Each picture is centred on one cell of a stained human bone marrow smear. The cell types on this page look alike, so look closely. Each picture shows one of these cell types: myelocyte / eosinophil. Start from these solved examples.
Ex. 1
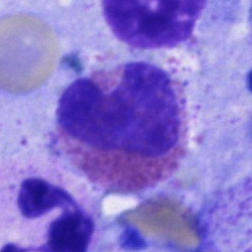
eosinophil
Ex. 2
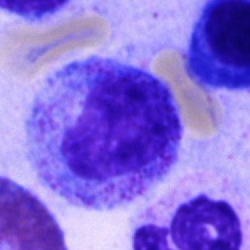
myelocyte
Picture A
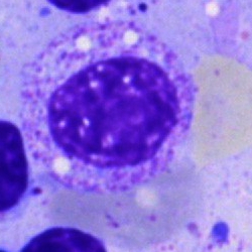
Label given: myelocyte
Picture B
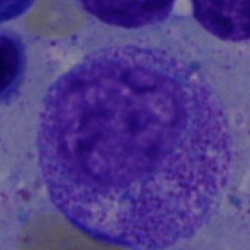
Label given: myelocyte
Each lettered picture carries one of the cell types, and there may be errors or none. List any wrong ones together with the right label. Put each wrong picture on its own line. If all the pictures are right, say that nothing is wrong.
Nothing to fix; every label fits.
